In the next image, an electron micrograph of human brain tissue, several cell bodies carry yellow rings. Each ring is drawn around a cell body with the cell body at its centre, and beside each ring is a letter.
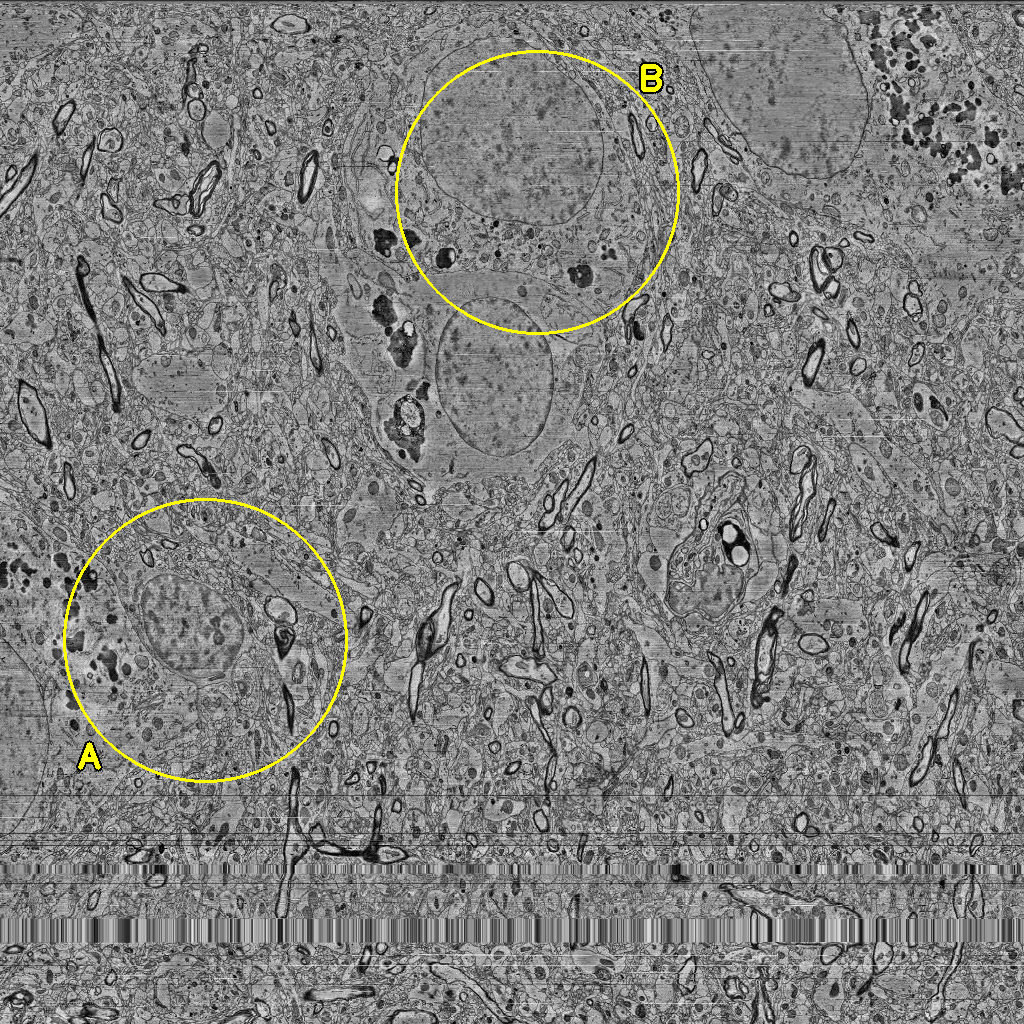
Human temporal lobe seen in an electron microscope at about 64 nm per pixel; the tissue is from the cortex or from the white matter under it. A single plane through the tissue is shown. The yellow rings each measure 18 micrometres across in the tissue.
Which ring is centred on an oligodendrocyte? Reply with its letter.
A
